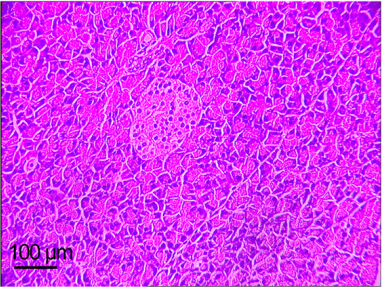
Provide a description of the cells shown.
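Pancreas with closely packed acini of cells with pink cytoplasm and basal purple nuclei filling most of the field. Left of centre lies a rounded, paler-staining cluster of smaller cells, a pancreas islet, set apart from the surrounding acinar tissue.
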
